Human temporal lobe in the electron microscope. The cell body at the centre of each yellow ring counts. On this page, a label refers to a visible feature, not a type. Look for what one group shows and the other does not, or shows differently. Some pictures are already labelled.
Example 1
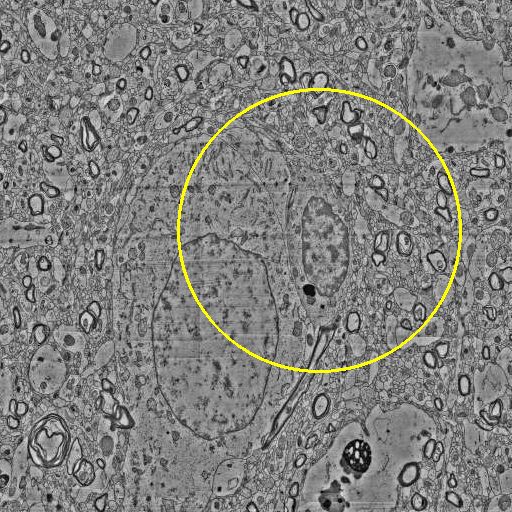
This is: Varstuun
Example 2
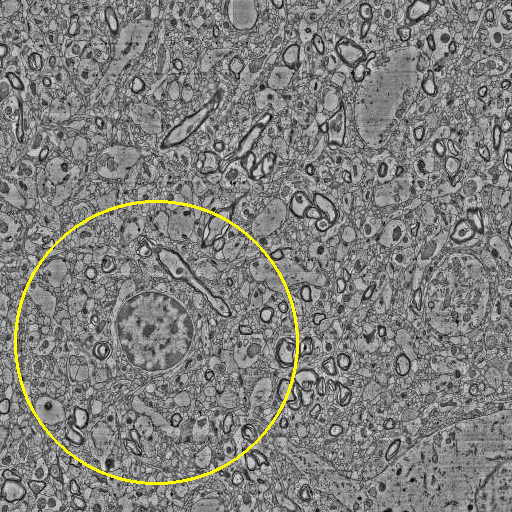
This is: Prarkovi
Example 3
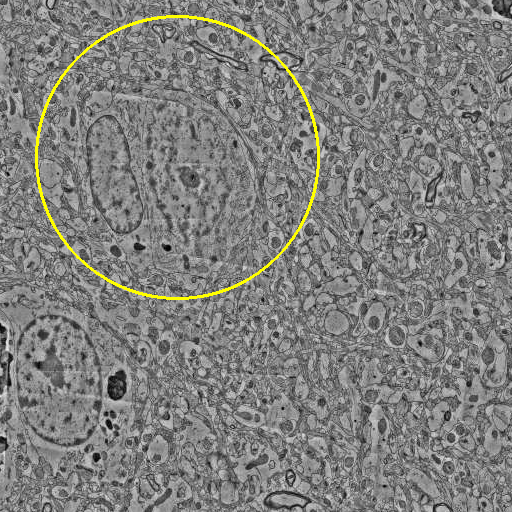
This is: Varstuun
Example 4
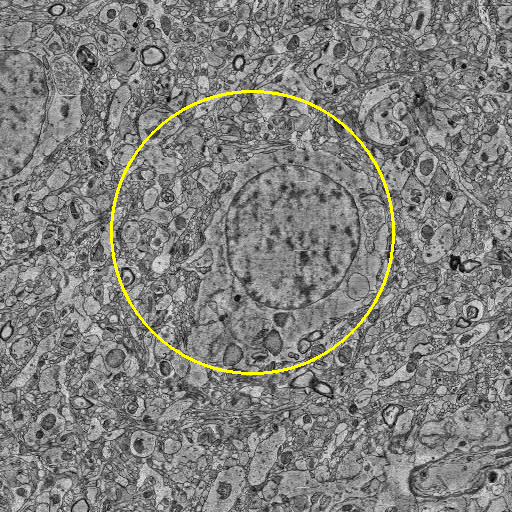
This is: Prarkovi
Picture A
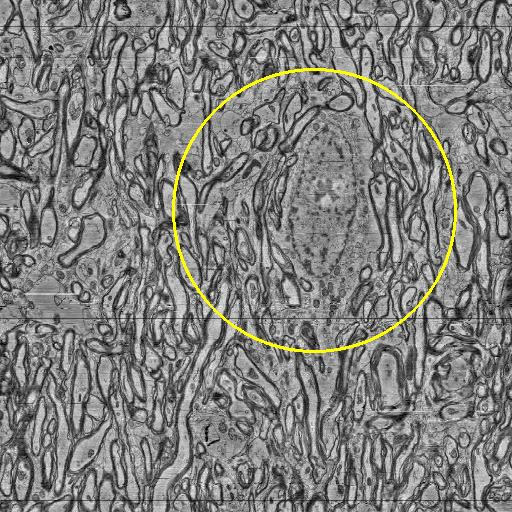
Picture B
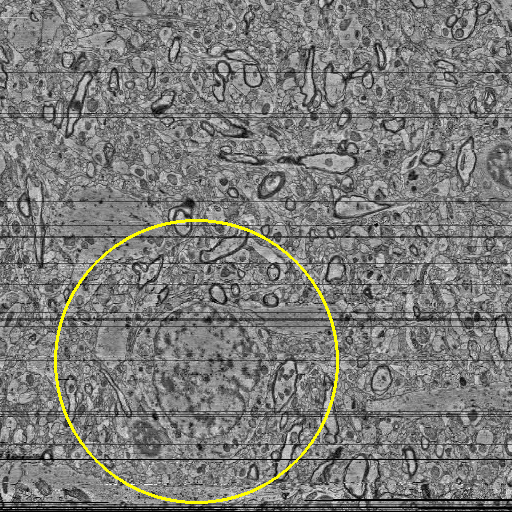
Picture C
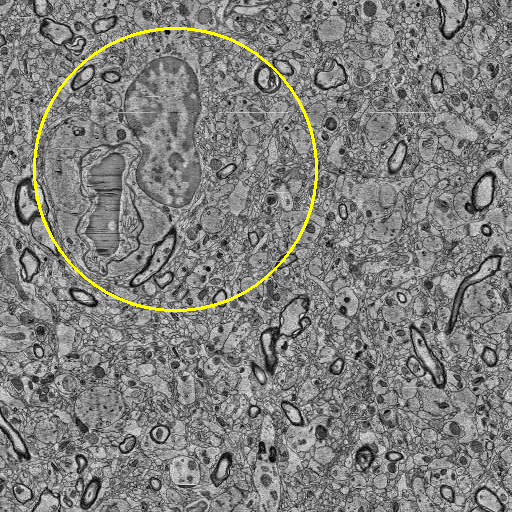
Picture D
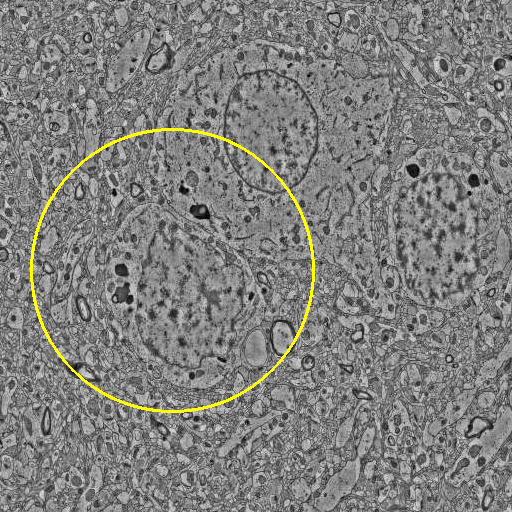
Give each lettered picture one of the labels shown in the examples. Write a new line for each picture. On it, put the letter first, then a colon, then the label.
A: Varstuun
B: Prarkovi
C: Varstuun
D: Prarkovi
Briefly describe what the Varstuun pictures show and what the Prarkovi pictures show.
In Varstuun: clearly elongated nuclei. In Prarkovi: round or nearly round nuclei.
